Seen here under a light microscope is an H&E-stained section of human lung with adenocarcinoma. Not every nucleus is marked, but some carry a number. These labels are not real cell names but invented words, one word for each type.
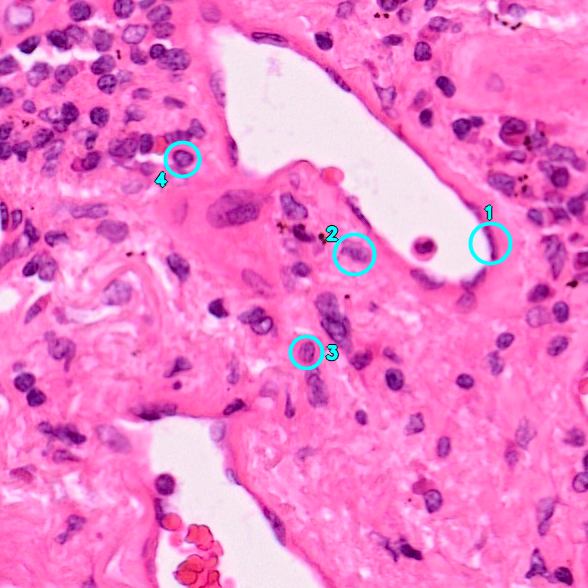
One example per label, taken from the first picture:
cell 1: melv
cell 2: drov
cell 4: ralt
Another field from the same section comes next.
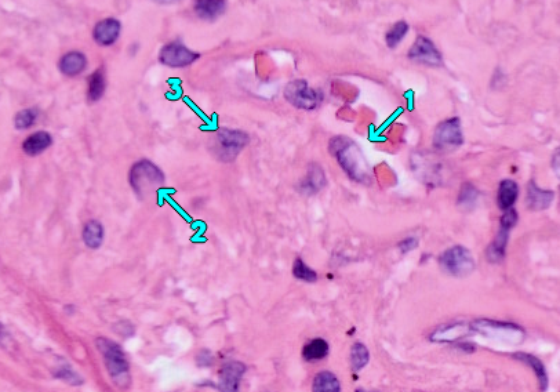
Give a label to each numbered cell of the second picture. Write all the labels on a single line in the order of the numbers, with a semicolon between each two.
melv; drov; drov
